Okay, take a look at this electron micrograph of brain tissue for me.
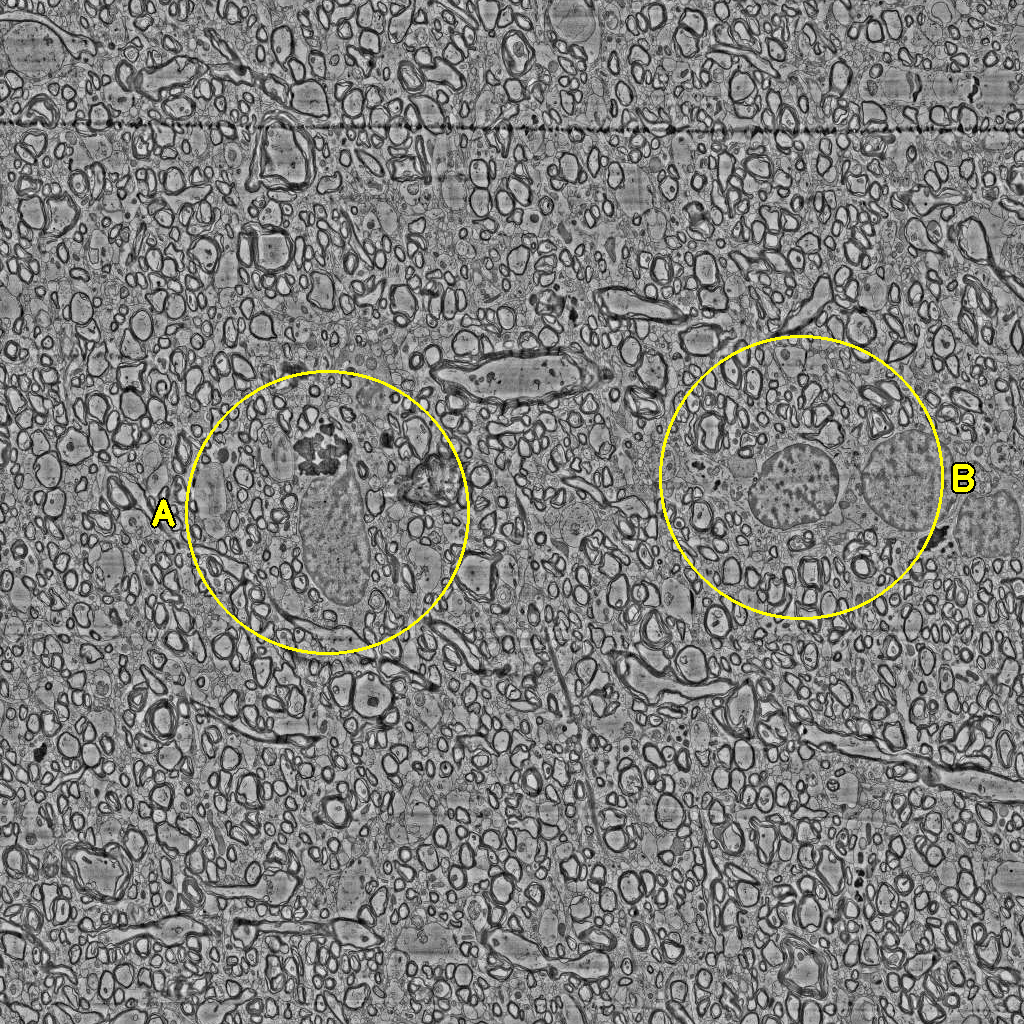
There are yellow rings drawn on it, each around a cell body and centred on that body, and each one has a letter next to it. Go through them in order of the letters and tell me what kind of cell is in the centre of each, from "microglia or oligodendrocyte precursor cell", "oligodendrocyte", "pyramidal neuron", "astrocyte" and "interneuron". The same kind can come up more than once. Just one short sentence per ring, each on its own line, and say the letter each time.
In the centre of ring A there's an oligodendrocyte.
In the centre of ring B there's a microglial cell or oligodendrocyte precursor cell.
